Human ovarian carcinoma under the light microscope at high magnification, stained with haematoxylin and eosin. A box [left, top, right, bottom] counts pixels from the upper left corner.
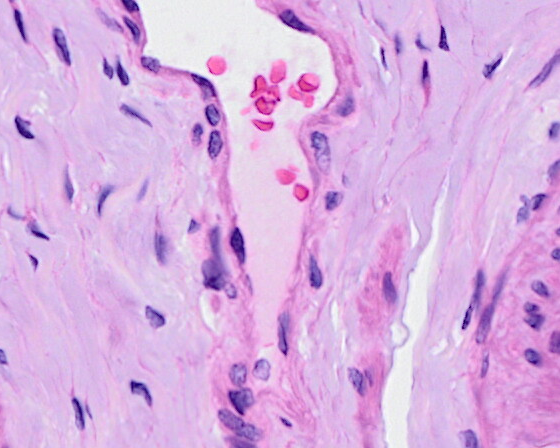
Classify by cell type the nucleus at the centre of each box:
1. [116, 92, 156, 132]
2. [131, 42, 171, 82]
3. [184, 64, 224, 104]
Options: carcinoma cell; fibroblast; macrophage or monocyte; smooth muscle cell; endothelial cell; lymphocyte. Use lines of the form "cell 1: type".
cell 1: fibroblast
cell 2: endothelial cell
cell 3: endothelial cell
